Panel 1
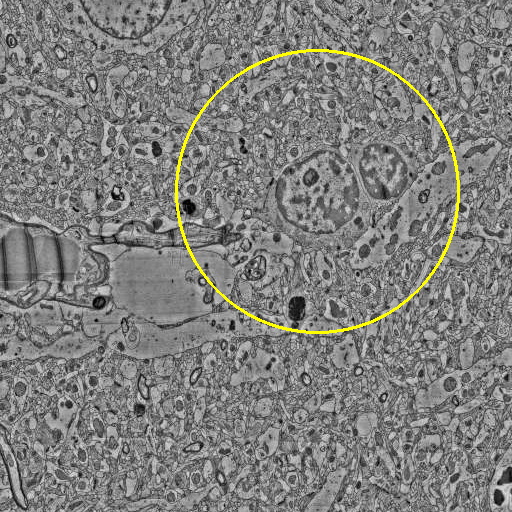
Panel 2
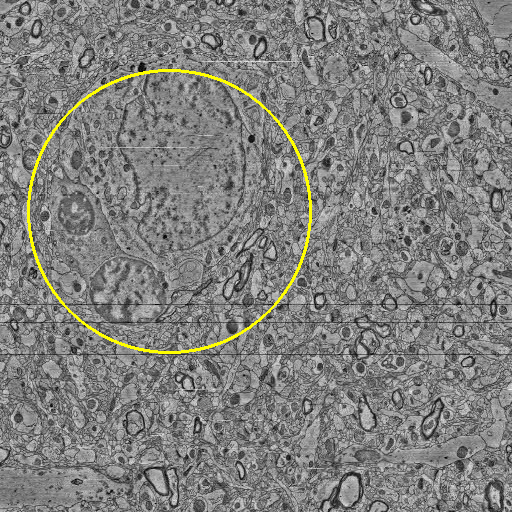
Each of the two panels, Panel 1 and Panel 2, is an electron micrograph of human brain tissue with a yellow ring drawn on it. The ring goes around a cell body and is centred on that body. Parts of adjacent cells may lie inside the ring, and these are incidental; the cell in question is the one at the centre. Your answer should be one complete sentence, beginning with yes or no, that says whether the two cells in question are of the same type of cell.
No, the two cells are of two types.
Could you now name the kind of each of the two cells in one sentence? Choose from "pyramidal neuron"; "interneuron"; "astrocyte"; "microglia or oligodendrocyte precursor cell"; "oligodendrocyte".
The first ring encloses an oligodendrocyte; the second ring encloses an interneuron.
